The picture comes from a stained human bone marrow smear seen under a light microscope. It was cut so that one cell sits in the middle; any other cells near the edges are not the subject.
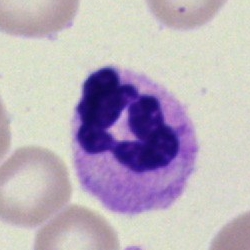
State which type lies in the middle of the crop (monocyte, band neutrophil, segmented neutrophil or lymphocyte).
segmented neutrophil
